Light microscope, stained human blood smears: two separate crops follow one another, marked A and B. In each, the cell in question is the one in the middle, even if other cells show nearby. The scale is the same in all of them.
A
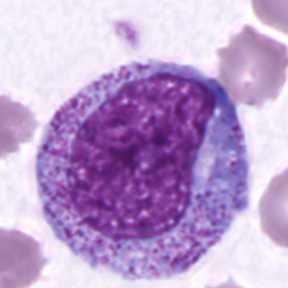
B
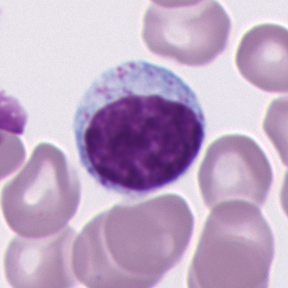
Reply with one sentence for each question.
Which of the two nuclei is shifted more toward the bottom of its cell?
In picture B the nucleus is shifted more toward the bottom.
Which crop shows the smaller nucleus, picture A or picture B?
Picture B shows the smaller nucleus, since that in picture A covers about 2 times as much area.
